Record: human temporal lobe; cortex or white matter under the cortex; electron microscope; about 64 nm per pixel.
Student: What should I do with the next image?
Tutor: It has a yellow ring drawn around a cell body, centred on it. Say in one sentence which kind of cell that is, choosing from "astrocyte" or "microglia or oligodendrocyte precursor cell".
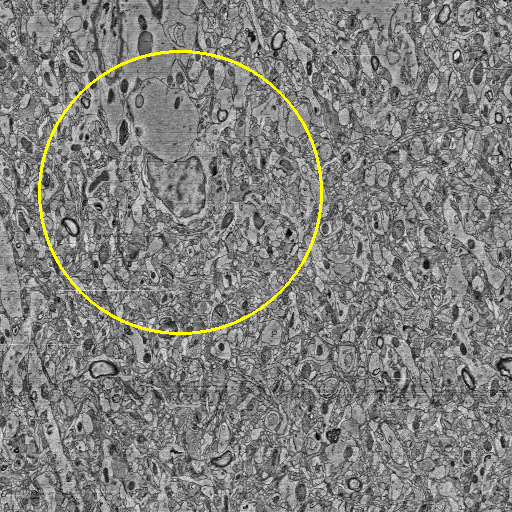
The ring's centre is occupied by a microglial cell or oligodendrocyte precursor cell.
